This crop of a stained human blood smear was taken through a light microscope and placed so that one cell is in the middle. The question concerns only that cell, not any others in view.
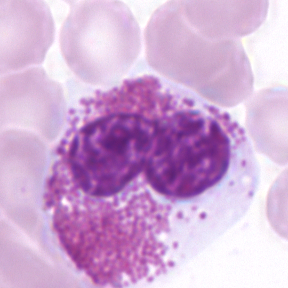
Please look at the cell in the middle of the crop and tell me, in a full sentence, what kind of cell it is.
The cell at the heart of this crop is an eosinophil.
